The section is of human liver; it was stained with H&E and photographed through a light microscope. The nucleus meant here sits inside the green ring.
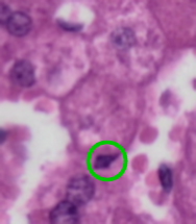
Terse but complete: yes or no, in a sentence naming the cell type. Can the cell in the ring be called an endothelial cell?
No, the cell in the ring is classed as a fibroblast or stellate cell, not an endothelial cell.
